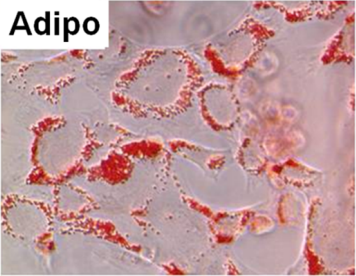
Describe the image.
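Cultured cells filled with numerous small round red-stained droplets, arranged in rings around pale central areas. In places the droplets merge into larger bright red masses, while a pale flattened cell layer lies between the clusters.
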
